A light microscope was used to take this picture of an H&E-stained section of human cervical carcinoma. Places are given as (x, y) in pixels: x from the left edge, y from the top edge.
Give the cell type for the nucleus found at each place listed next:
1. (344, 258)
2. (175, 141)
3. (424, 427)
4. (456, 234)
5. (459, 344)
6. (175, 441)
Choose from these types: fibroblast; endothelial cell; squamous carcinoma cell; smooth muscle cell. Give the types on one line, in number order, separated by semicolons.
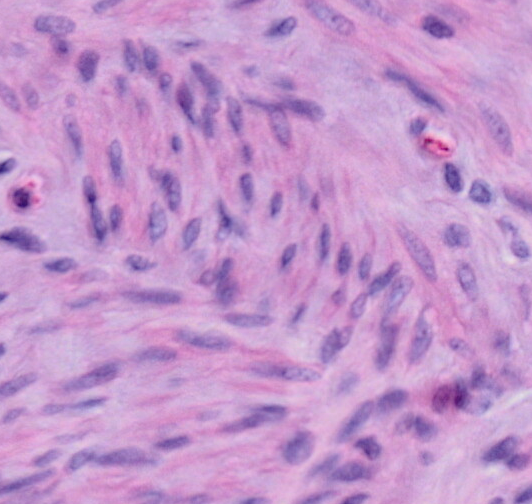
smooth muscle cell; smooth muscle cell; fibroblast; fibroblast; smooth muscle cell; smooth muscle cell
